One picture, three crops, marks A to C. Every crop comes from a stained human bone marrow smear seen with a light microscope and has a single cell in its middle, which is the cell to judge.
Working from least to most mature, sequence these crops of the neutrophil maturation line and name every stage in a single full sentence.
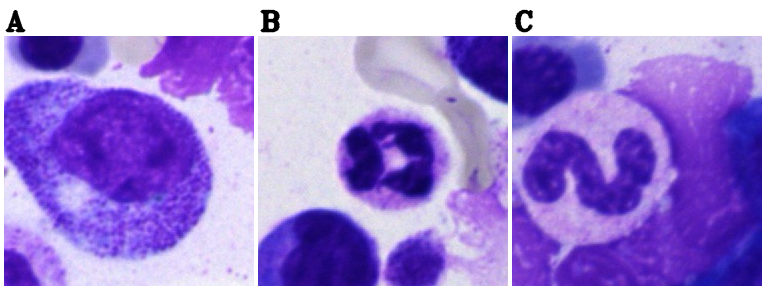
The order of maturity, lowest to highest, is crop A (a promyelocyte), crop C (a band neutrophil) and crop B (a segmented neutrophil).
